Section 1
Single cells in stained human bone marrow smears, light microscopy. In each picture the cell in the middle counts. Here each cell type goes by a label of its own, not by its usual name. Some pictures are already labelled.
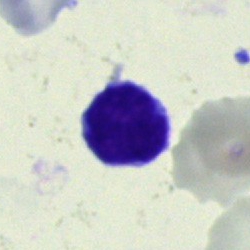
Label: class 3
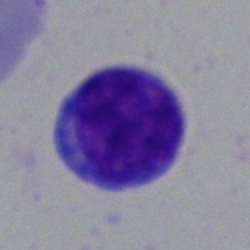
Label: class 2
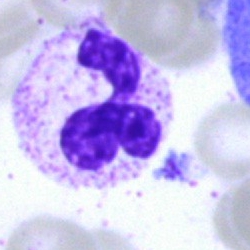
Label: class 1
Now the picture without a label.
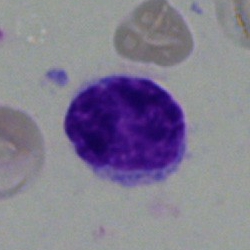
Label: class 3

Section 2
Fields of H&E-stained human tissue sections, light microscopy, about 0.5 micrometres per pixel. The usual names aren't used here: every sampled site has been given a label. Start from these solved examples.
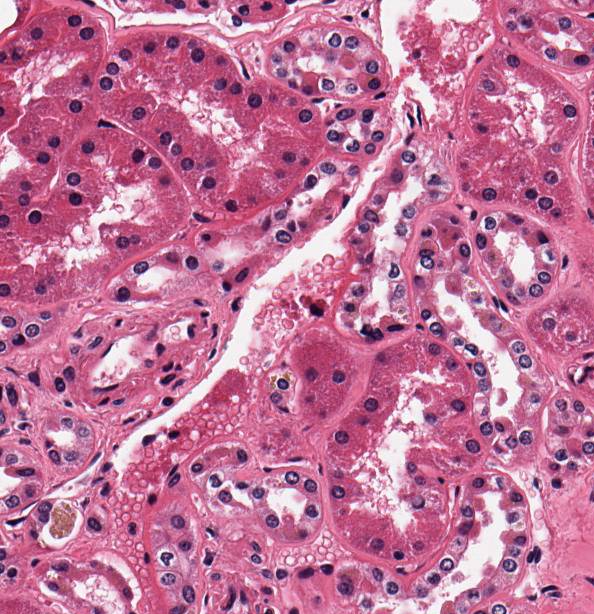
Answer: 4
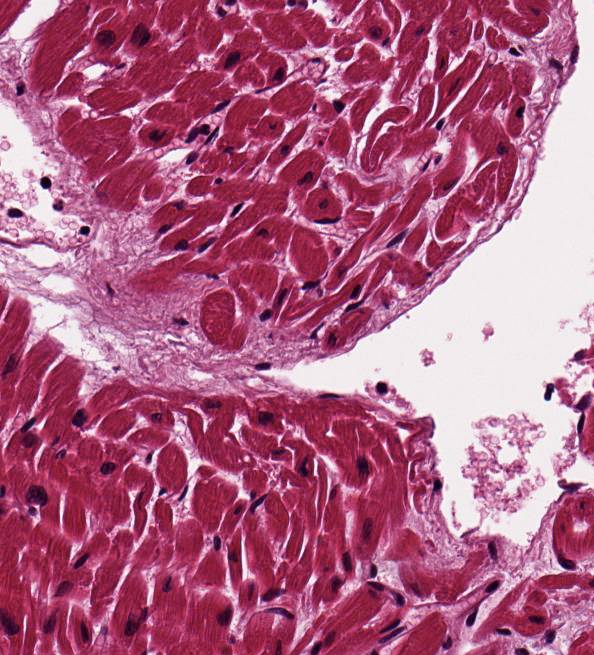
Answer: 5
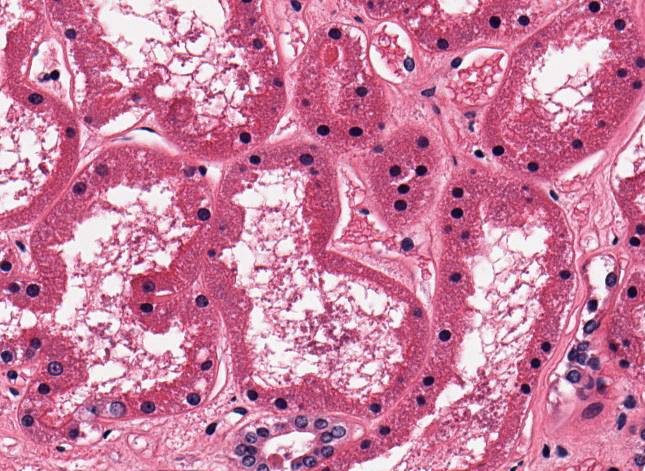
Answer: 4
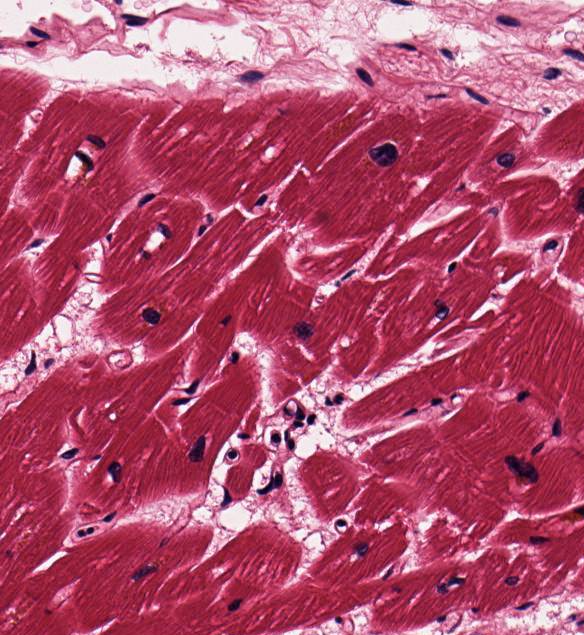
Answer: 5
